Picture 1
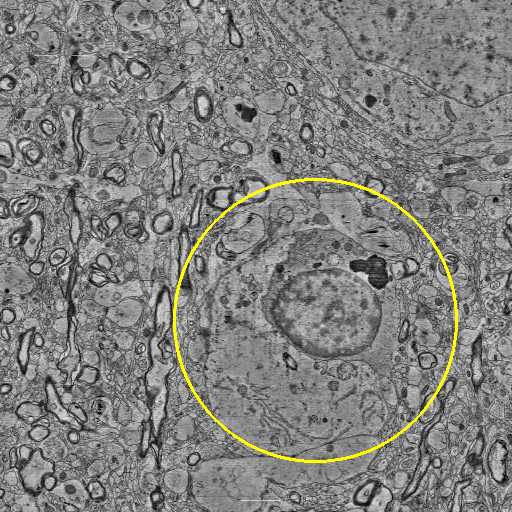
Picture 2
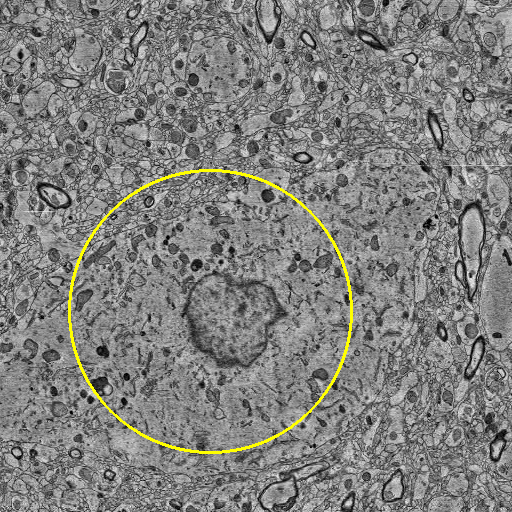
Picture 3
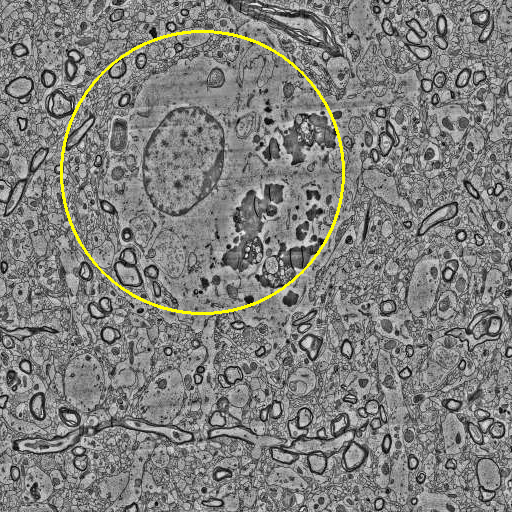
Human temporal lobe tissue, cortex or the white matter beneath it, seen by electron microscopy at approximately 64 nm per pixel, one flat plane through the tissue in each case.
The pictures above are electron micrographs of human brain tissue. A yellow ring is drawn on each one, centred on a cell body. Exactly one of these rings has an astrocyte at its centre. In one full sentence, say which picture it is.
Picture 3 has it at the centre of its ring.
